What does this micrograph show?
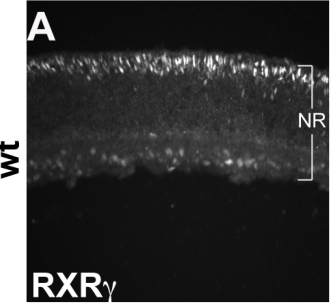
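The retina forms a curved band; along its outer edge a row of small, bright, radially oriented cells lines the surface. The middle of the band is mostly dim with only few scattered labelled cells. Near the inner edge a second, looser row of rounded labelled cells is visible. Below the retina the field is dark.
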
